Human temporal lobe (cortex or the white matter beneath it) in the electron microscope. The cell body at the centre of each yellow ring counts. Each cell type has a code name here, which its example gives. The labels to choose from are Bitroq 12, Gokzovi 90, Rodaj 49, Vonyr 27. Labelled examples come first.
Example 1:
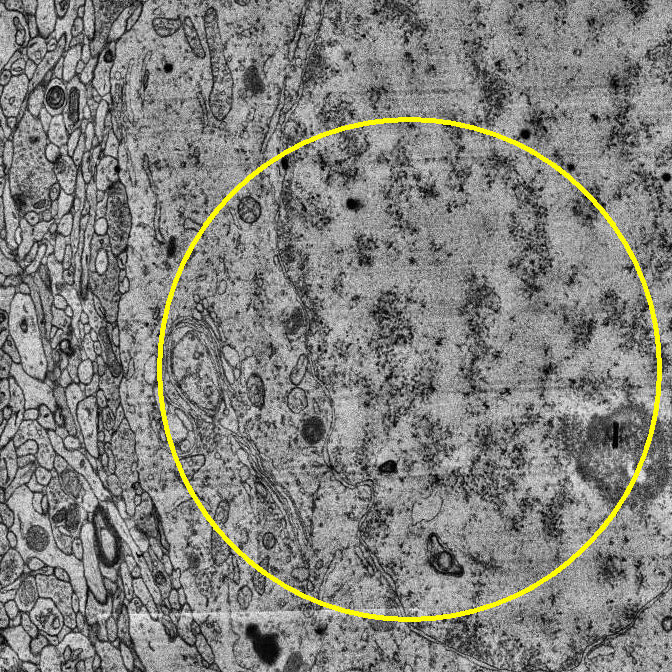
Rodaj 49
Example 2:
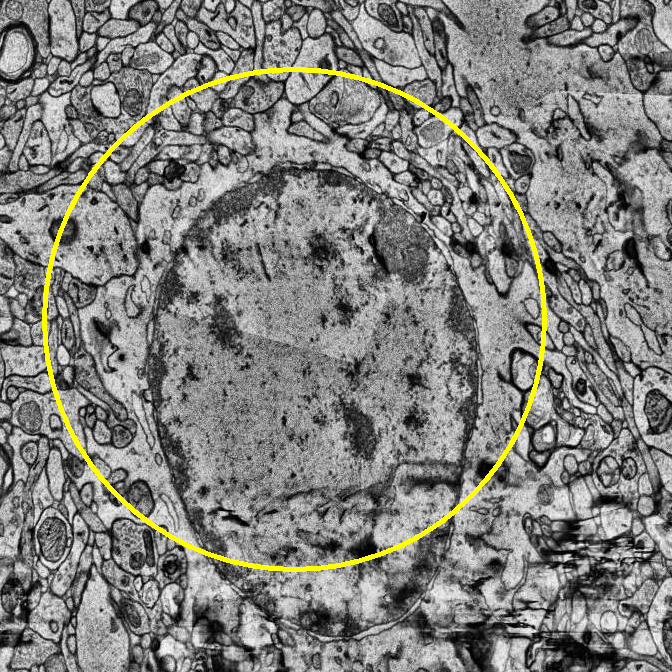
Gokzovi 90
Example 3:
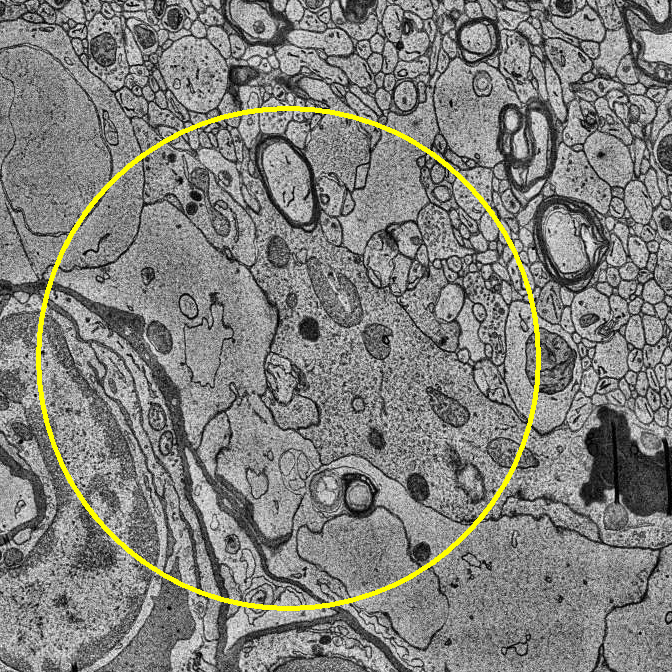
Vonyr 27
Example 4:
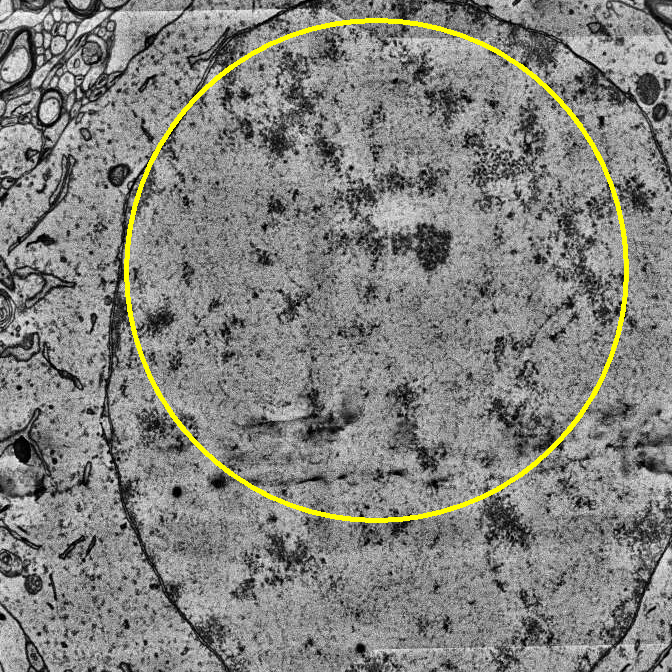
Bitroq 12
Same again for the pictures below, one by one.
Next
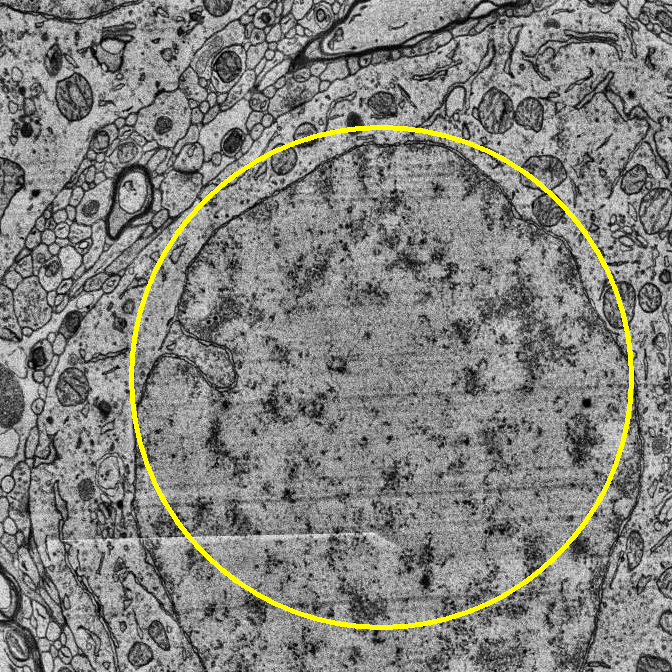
Rodaj 49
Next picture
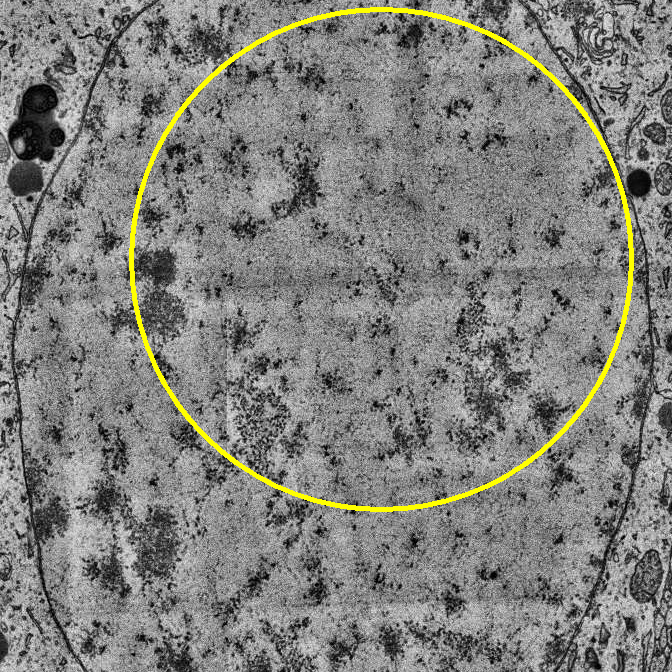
Bitroq 12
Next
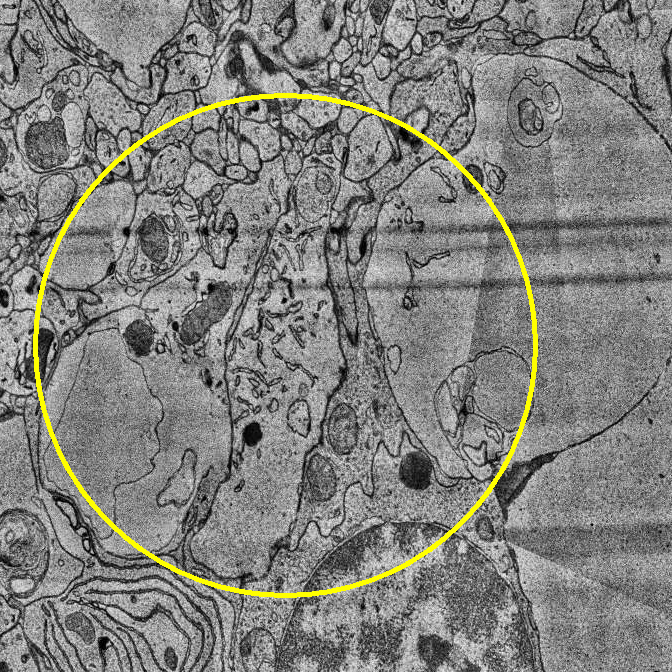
Vonyr 27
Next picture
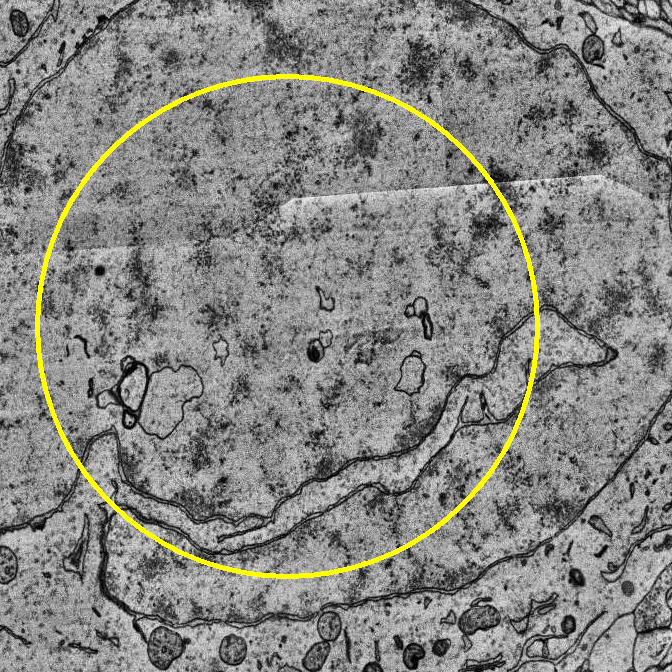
Rodaj 49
